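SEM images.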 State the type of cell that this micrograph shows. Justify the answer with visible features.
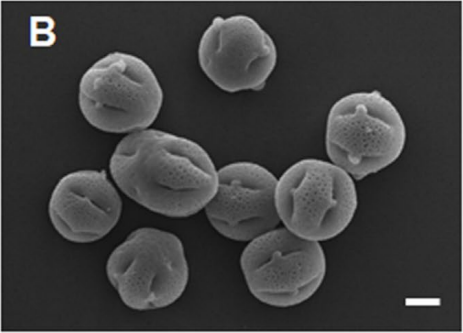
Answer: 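Pollen grains. Each grain has furrows with a pitted wall surface.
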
